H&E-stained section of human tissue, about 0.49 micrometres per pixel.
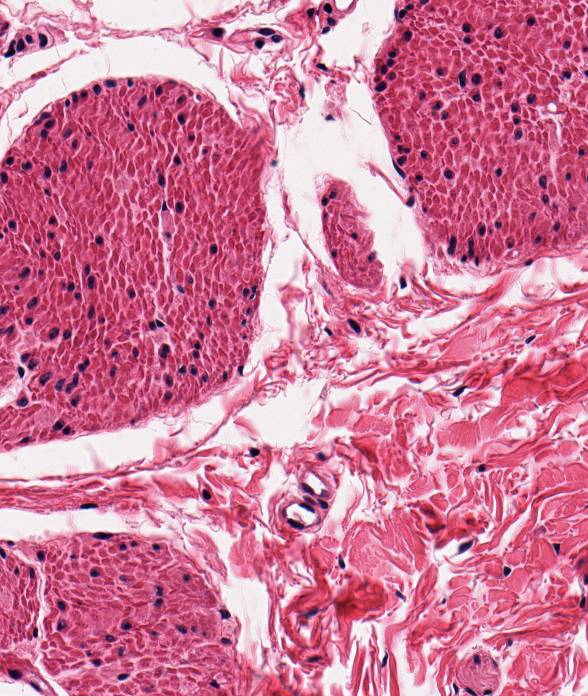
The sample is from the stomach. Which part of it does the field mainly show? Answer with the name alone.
smooth muscle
